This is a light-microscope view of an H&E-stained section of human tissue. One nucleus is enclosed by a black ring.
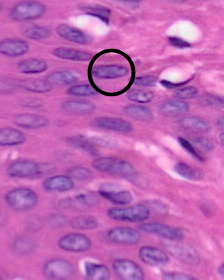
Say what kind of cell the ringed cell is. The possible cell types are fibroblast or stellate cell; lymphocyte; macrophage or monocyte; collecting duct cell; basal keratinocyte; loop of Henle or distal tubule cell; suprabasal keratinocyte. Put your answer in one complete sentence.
Just put down that the ringed cell is a basal keratinocyte.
